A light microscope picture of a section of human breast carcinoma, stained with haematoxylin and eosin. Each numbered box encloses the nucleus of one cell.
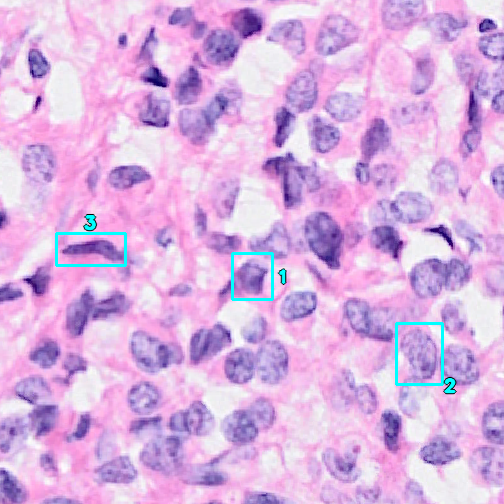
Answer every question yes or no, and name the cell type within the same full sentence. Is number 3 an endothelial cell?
Yes, on this slide, the cell with number 3 is an endothelial cell.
